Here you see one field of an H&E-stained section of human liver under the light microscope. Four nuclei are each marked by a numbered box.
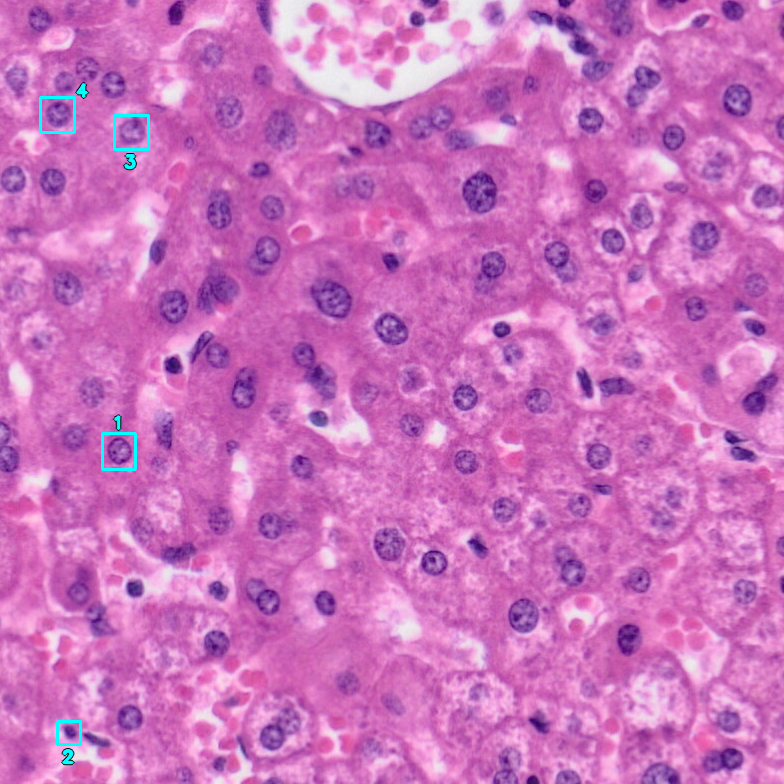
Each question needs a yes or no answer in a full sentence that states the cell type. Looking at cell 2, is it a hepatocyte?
No, at number 2 sits a lymphocyte, not a hepatocyte.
